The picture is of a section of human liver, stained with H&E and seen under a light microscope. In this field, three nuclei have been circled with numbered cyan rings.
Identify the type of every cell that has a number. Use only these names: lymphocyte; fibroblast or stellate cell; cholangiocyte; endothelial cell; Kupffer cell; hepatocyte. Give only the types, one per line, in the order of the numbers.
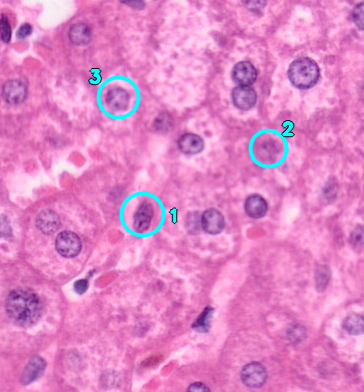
Kupffer cell
hepatocyte
hepatocyte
